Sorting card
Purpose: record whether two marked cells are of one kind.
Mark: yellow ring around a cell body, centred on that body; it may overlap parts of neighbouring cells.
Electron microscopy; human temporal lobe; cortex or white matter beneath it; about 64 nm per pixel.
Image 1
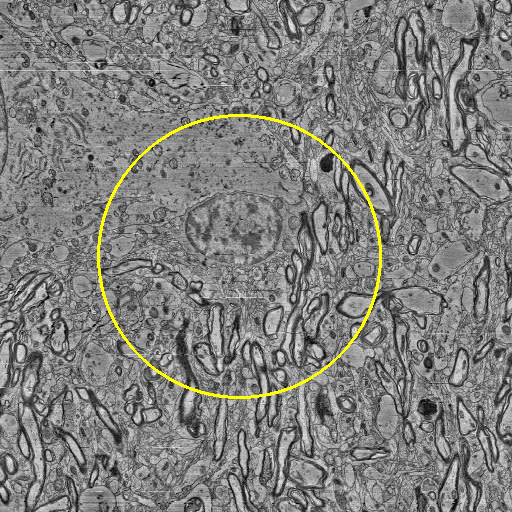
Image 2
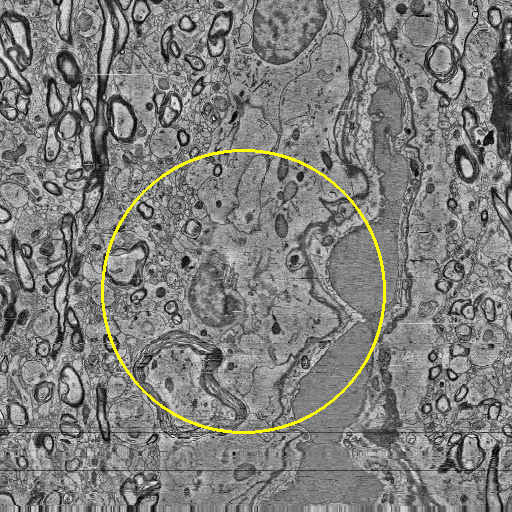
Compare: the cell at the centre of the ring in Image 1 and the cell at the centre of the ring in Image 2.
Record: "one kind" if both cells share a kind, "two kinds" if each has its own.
one kind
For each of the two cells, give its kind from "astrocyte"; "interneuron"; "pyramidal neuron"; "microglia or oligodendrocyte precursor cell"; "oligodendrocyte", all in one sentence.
The cell in the first picture is an oligodendrocyte, and so is the one in the second.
